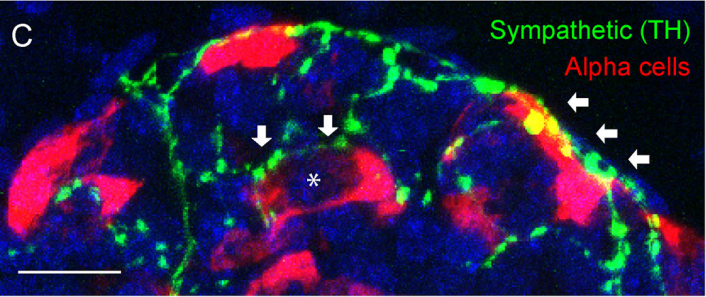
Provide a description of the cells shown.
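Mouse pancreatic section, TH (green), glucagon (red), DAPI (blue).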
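Thin green fibers run between the cells and along the outer border, beaded with bright green swellings, the varicosities. Several of these swellings lie directly against the surfaces of the red-filled cells, and at one spot along the rim green and red overlap to yellow.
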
